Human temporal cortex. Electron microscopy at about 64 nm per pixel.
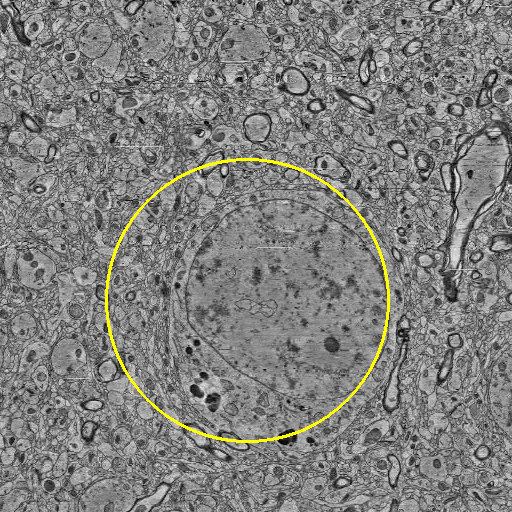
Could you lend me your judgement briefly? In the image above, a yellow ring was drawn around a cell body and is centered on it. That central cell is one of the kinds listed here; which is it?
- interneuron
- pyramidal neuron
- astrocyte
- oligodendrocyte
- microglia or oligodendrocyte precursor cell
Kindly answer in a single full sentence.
Going by the list, a pyramidal neuron is the kind at the ring's center in the picture.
